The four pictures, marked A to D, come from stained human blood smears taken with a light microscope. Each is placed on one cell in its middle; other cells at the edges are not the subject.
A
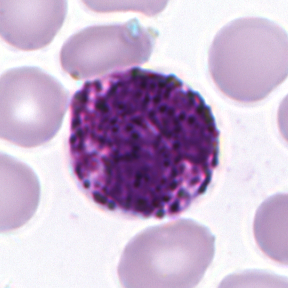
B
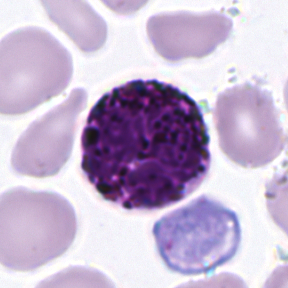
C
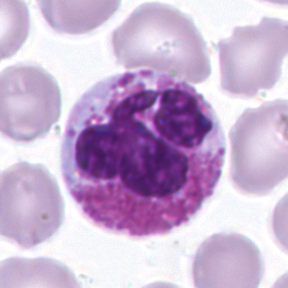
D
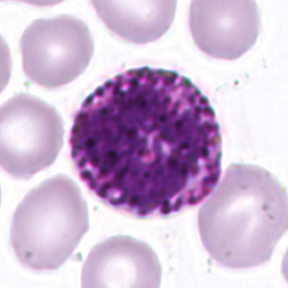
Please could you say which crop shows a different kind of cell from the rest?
C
